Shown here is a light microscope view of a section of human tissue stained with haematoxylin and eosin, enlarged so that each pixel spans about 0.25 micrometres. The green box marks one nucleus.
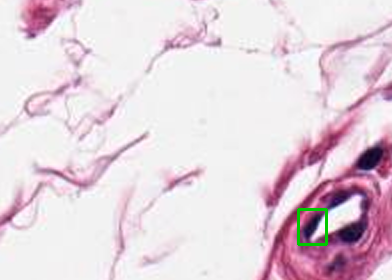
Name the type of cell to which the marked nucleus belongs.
endothelial cell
